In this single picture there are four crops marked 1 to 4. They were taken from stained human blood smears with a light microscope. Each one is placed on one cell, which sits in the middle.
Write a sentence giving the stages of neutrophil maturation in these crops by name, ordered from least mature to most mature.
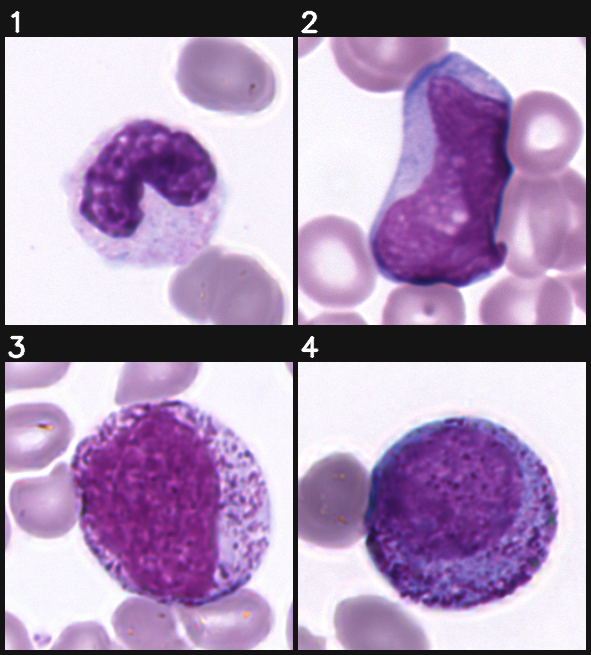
From least to most mature, the crops are ordered crop 2 (a blast), crop 4 (a promyelocyte), crop 3 (a myelocyte) and crop 1 (a band neutrophil).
